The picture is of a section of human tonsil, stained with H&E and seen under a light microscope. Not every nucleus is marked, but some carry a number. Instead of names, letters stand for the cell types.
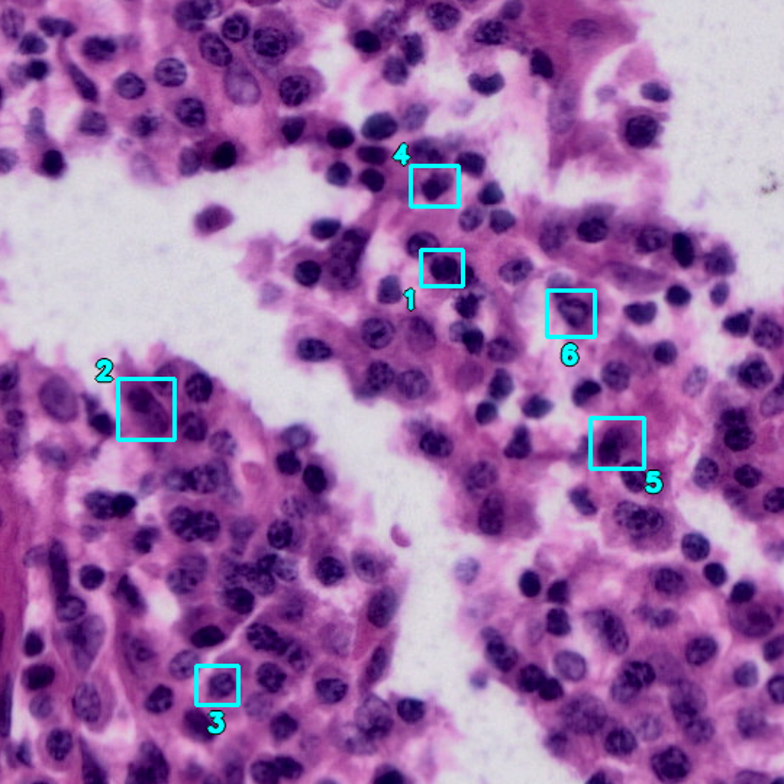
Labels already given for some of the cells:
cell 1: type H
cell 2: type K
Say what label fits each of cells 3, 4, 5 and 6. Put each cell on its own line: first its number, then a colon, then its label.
3: type H
4: type H
5: type K
6: type H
